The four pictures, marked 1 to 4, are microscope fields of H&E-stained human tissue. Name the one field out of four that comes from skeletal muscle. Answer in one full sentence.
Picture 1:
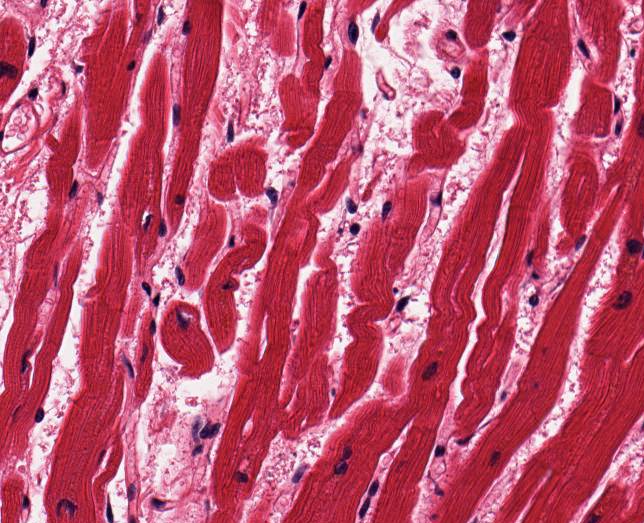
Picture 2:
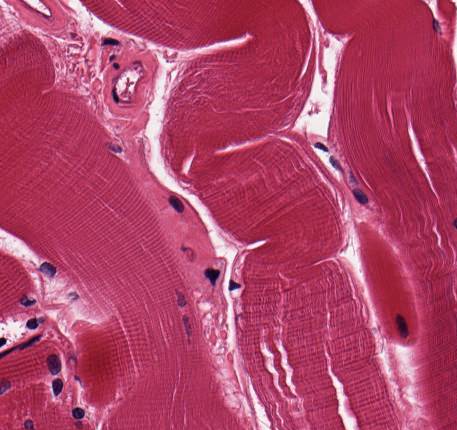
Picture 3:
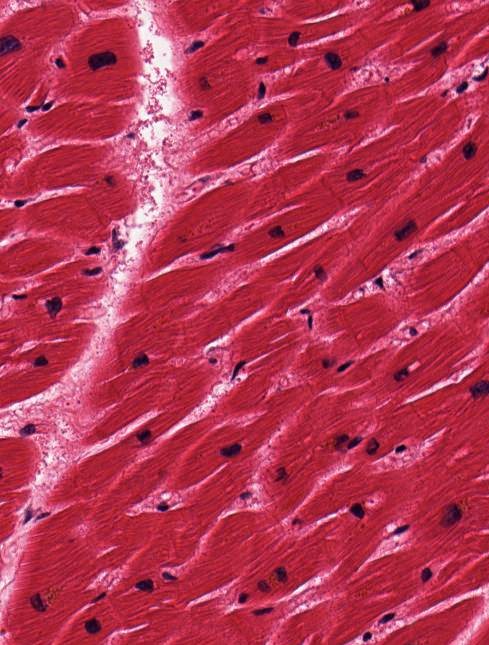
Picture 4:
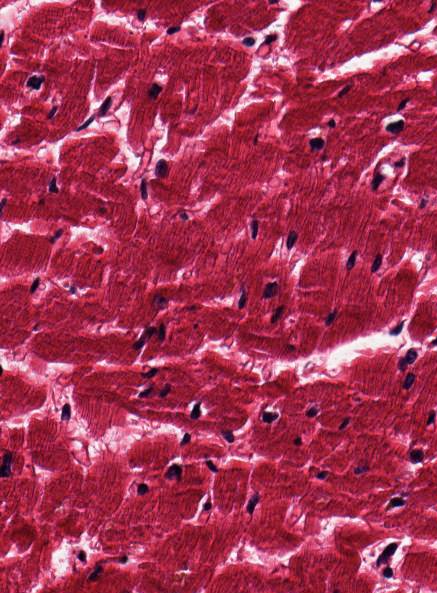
The one that comes from skeletal muscle is picture 2.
